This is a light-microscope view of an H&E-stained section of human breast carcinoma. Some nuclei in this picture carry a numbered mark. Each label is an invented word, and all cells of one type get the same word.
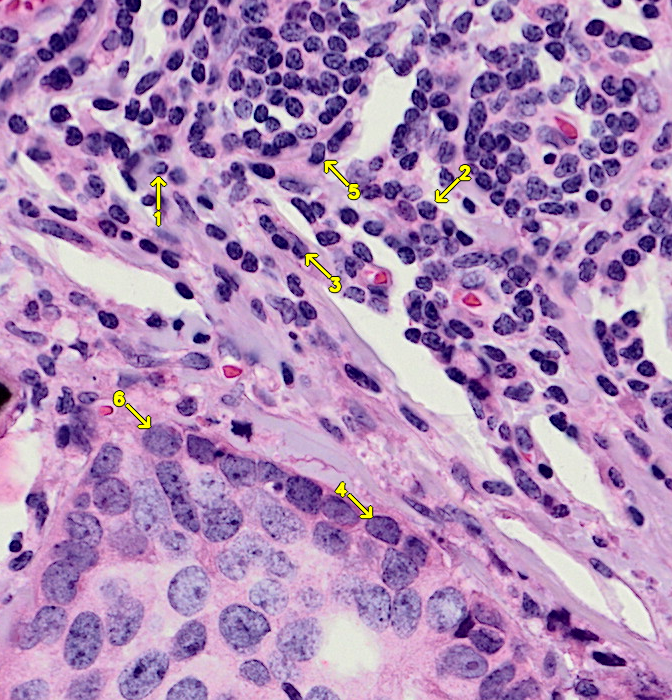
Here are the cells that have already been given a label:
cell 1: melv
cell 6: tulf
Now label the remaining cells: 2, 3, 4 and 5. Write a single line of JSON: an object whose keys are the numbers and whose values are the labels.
{"2": "melv", "3": "melv", "4": "tulf", "5": "melv"}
